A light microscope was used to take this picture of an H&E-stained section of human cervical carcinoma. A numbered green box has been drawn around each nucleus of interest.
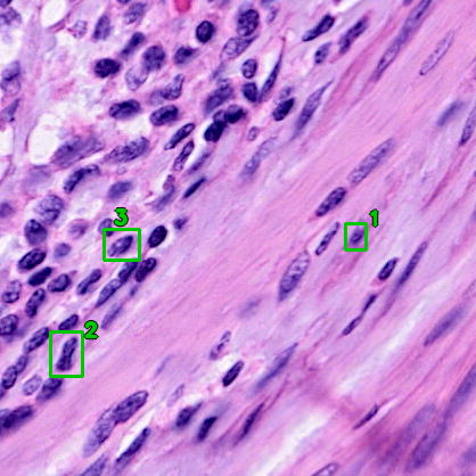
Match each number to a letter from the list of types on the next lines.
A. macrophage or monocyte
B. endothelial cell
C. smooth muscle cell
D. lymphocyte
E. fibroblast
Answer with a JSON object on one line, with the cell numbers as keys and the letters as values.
{"1": "C", "2": "D", "3": "D"}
